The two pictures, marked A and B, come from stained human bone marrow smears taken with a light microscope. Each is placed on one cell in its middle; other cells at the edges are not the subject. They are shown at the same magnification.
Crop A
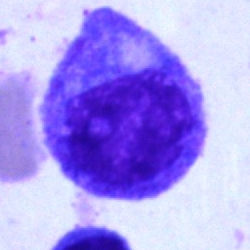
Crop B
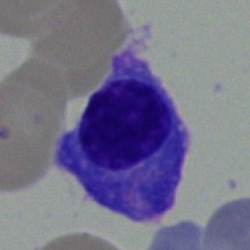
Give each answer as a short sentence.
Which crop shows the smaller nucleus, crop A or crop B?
Smaller is the nucleus in crop B, and the other is about 2 times as large in area.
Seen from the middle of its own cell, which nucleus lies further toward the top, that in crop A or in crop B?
The nucleus in crop B lies further toward the top of its cell.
